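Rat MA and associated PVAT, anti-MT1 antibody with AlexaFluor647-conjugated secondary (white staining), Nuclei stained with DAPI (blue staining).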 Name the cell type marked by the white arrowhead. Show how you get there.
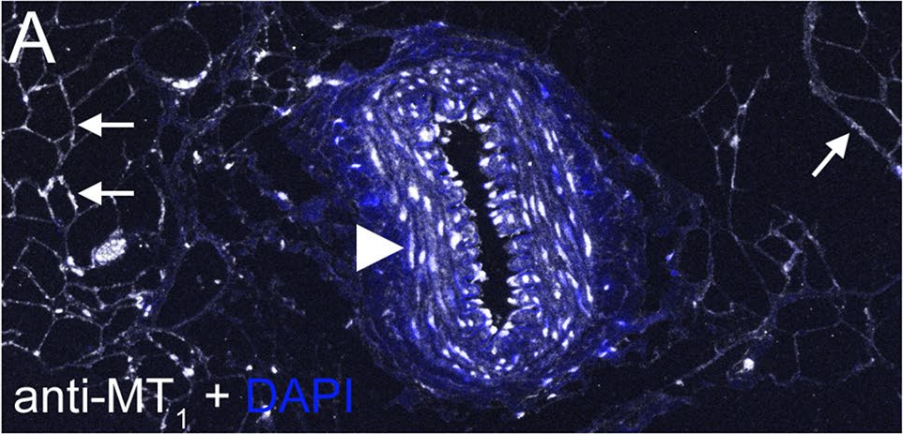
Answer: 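Smooth muscle cells. Arrowhead lies in the thick wall of concentric layers around the central lumen.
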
